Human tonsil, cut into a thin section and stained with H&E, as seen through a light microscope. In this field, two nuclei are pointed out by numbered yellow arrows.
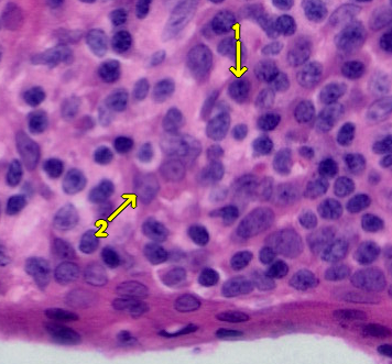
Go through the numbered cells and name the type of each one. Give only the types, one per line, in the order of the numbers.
plasma cell
squamous epithelial cell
